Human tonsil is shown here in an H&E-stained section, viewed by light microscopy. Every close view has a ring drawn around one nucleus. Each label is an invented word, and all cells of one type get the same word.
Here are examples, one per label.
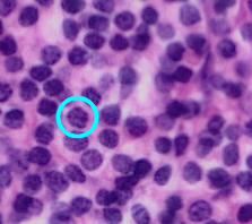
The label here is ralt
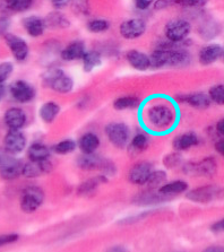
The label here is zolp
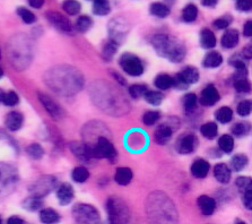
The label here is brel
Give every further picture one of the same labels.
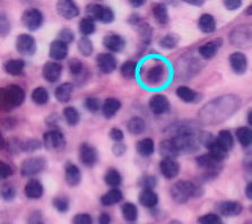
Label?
brel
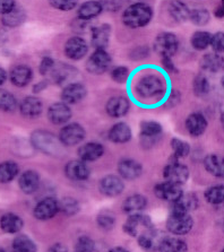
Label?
zolp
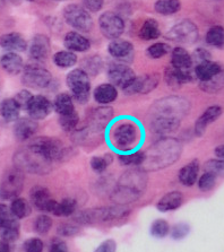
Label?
brel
